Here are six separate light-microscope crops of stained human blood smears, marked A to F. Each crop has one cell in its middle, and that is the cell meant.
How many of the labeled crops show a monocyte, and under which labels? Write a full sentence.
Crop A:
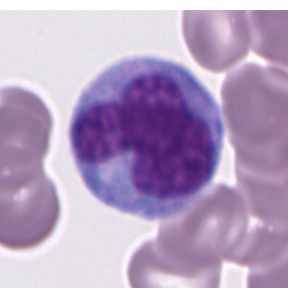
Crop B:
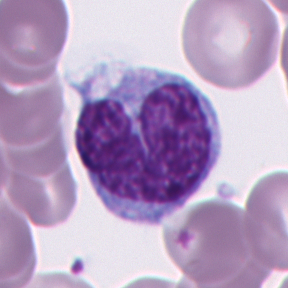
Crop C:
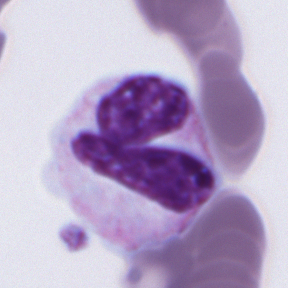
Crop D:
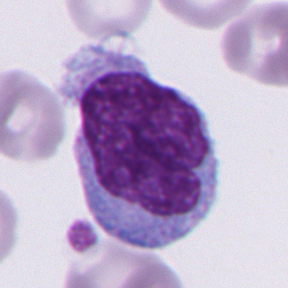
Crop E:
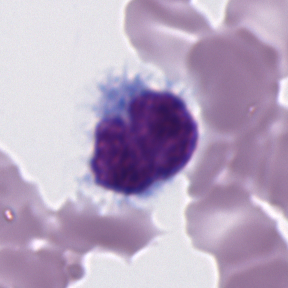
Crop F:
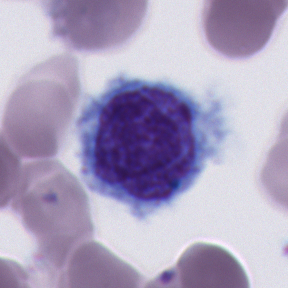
It is crops A, B, D and F, four in all, that show monocytes.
